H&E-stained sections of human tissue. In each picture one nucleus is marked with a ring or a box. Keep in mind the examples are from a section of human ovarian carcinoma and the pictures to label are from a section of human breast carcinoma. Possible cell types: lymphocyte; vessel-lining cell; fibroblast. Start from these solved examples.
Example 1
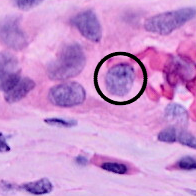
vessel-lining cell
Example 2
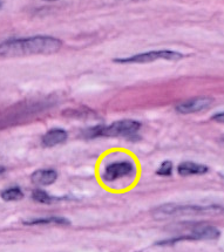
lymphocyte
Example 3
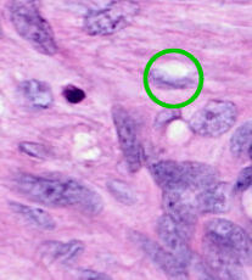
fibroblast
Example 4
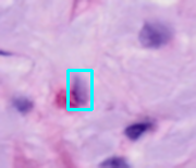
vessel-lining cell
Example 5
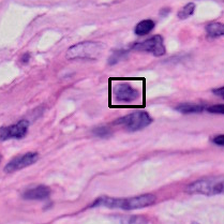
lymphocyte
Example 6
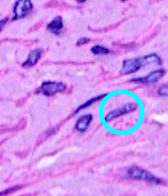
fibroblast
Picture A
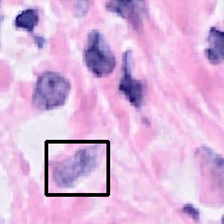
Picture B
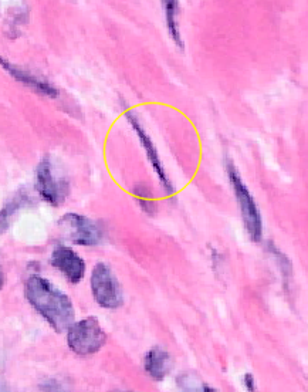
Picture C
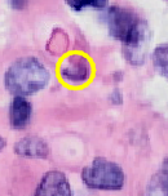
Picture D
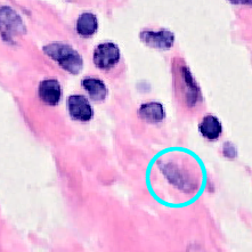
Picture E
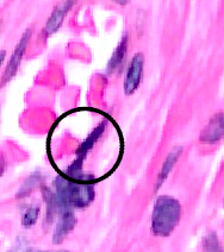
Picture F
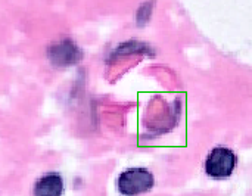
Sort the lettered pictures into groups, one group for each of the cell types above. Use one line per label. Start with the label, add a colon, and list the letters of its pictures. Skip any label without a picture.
vessel-lining cell: C, E, F
fibroblast: A, B, D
